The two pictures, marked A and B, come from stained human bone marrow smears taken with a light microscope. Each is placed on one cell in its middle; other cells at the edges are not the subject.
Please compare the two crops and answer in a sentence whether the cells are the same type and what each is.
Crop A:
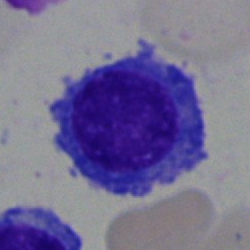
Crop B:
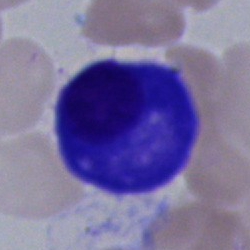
Yes, with regard to both crops, the central cells are plasma cells.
